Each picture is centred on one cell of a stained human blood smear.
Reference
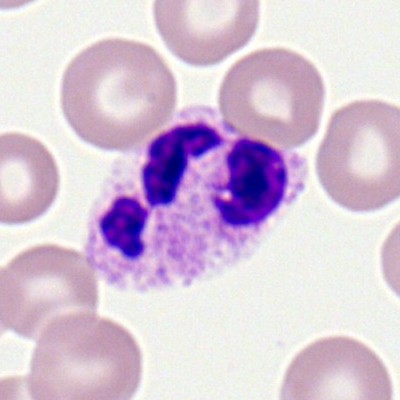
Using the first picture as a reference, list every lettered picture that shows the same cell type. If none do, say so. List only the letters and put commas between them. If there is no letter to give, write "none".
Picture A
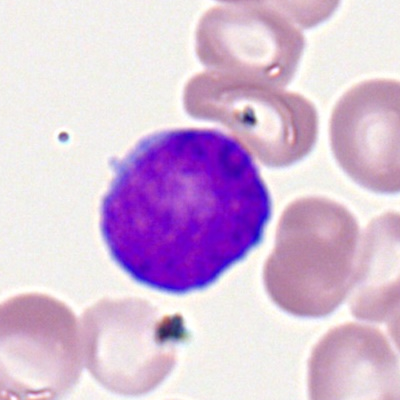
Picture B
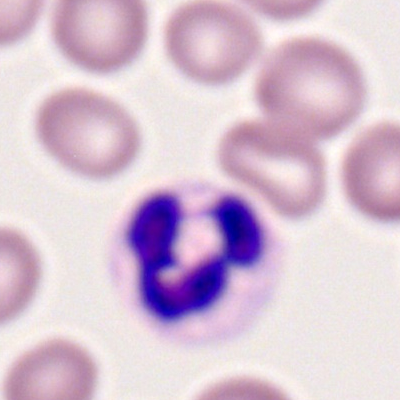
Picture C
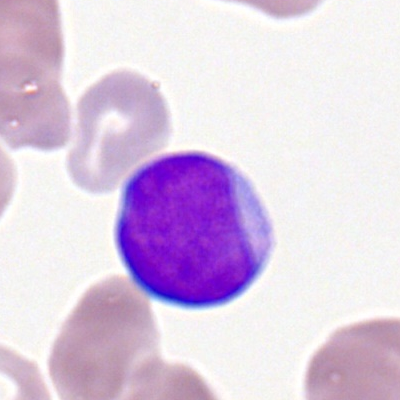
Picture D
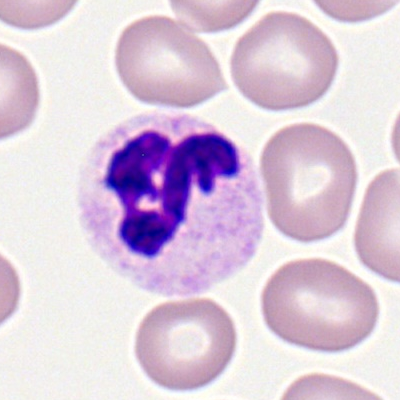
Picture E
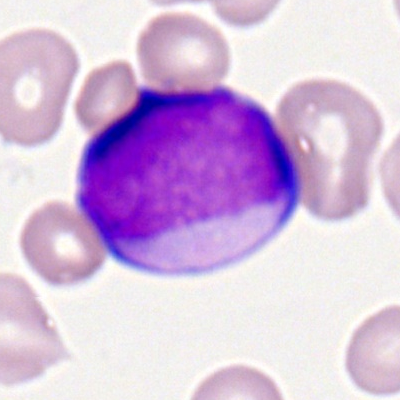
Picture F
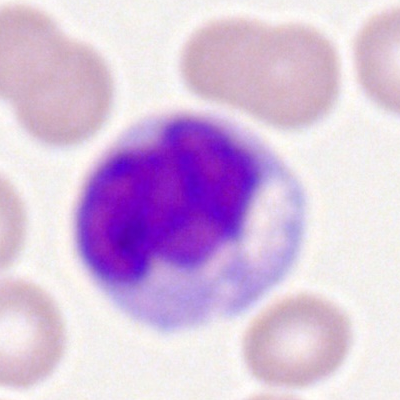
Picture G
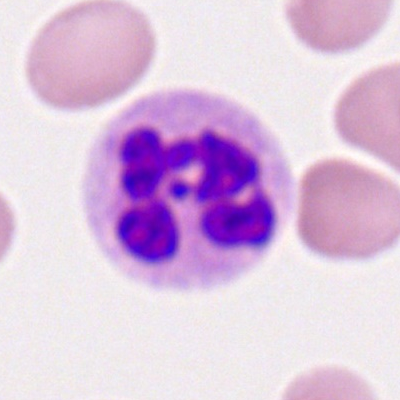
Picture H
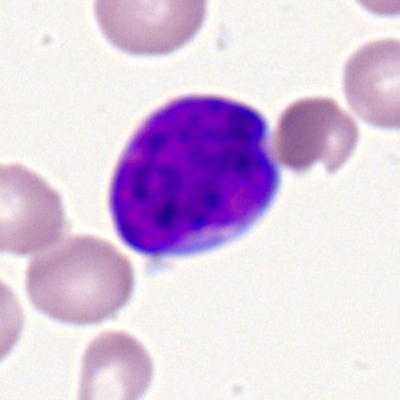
B, D, G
